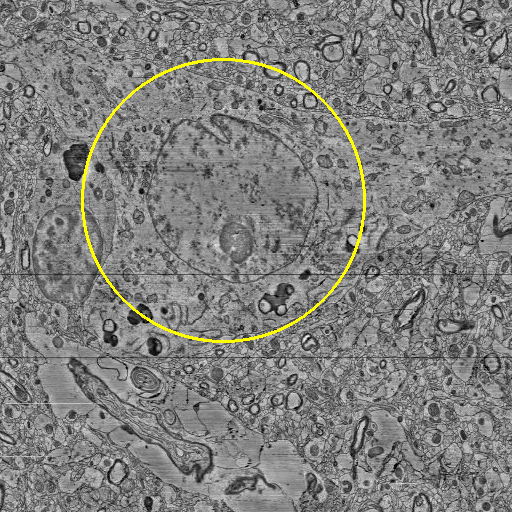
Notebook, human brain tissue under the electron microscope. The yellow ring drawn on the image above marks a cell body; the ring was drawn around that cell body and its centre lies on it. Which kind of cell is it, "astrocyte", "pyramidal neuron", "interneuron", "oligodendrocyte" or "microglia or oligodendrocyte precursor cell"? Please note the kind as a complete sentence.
The marked cell body is that of a pyramidal neuron.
